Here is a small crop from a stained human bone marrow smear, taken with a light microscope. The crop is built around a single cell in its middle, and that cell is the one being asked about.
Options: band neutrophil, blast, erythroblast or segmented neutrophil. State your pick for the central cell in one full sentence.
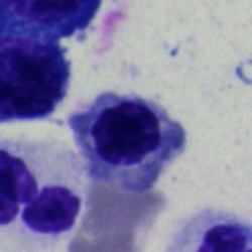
Whatever else lies nearby, the middle cell is an erythroblast.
